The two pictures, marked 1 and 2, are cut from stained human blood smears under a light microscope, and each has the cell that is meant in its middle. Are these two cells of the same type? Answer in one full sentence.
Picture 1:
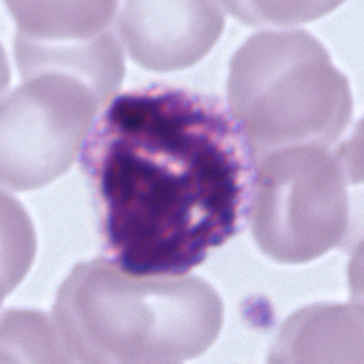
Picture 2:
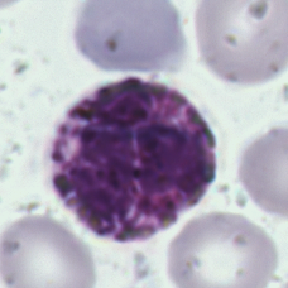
Yes, they are the same type: both are basophils.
